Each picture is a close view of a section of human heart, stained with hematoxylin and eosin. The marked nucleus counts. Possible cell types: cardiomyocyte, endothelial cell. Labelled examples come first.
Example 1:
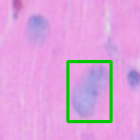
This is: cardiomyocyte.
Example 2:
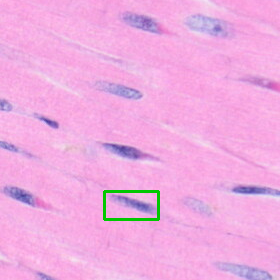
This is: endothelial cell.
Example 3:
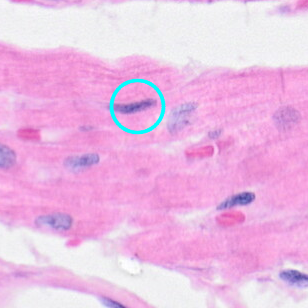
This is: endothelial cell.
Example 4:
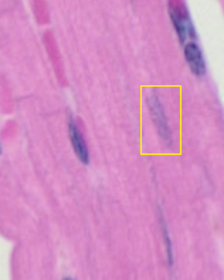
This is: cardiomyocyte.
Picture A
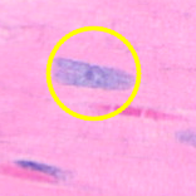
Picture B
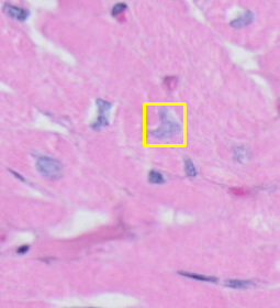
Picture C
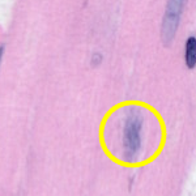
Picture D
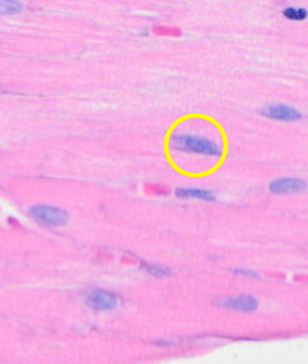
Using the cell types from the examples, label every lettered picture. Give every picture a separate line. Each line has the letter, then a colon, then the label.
A: cardiomyocyte.
B: cardiomyocyte.
C: endothelial cell.
D: endothelial cell.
